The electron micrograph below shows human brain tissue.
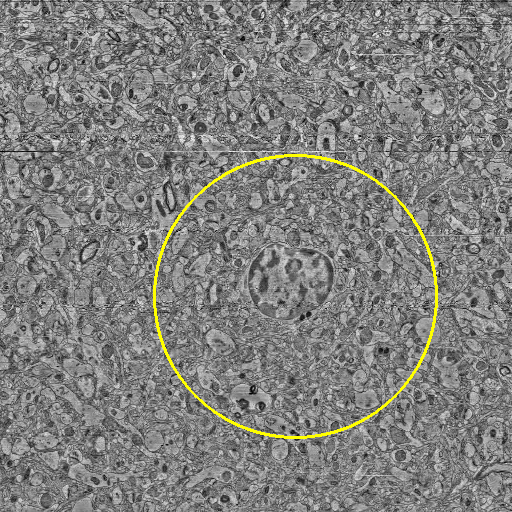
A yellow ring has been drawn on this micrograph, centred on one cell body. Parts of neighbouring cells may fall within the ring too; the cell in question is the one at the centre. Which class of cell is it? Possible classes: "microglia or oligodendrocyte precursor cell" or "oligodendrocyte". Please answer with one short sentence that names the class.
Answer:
In the centre of the ring sits a microglial cell or oligodendrocyte precursor cell.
